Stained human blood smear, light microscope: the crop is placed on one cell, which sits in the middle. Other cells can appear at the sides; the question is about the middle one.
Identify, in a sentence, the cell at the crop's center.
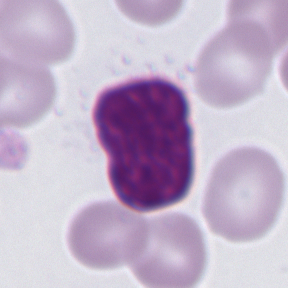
By classification, the middle cell of this crop is a smudge cell.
